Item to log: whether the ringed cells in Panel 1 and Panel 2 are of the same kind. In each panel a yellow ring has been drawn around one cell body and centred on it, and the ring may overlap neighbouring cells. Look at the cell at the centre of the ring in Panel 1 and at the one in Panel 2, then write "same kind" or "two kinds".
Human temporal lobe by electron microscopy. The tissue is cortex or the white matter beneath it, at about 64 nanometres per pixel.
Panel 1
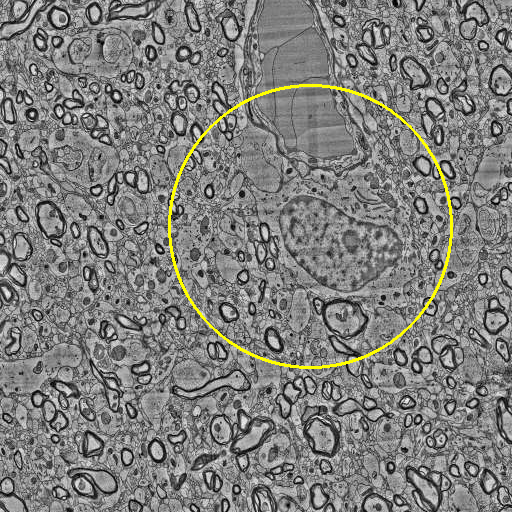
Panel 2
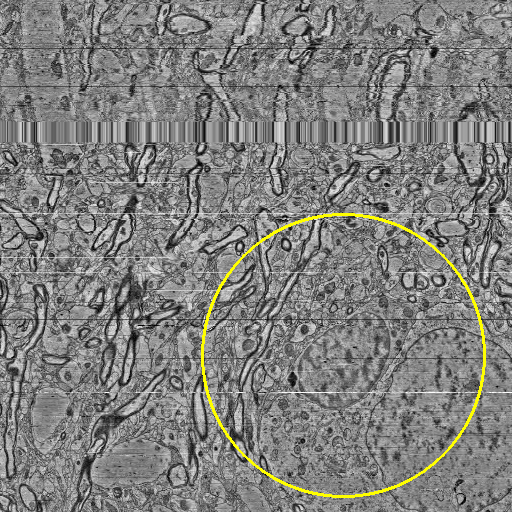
two kinds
